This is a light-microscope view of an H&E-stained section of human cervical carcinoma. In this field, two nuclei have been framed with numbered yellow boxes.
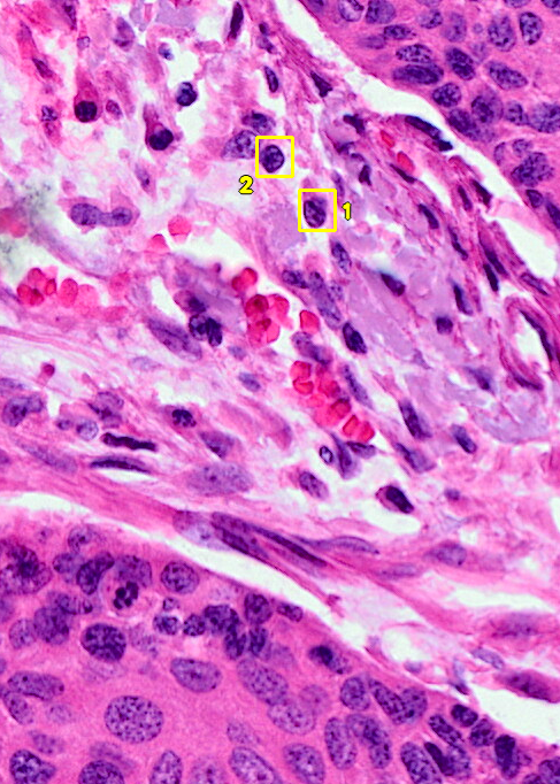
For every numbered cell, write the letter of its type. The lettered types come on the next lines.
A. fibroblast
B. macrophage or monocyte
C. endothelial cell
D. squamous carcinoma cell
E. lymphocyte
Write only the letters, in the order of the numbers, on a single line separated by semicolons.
B; E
